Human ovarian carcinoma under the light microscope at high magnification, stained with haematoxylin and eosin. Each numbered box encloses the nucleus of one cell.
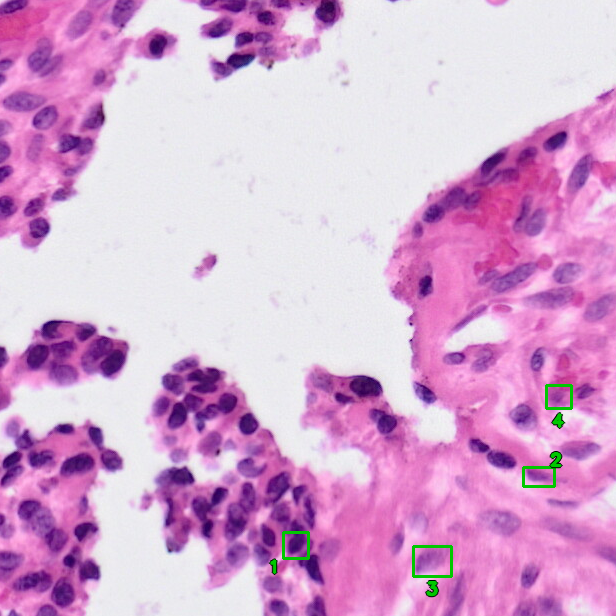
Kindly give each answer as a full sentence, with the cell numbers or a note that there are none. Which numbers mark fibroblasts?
On this slide, the cells numbered 2, 3 and 4 are fibroblasts.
